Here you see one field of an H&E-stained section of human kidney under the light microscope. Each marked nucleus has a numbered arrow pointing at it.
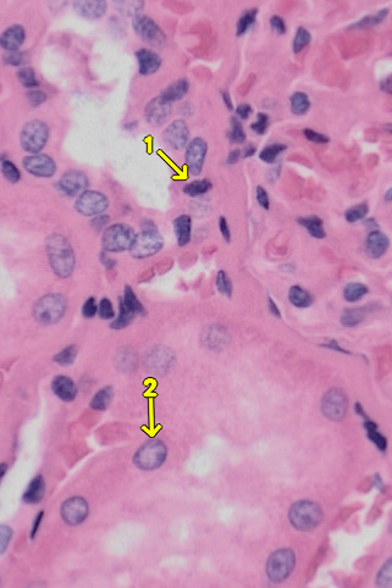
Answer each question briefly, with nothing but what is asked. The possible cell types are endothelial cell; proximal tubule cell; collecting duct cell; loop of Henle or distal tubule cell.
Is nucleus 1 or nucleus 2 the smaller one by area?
1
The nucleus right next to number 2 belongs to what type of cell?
endothelial cell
